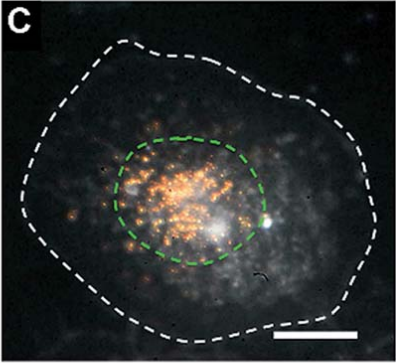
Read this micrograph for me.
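This is a single cultured cell seen in dark field, where the cell body shows only as a faint grey, spread-out shape against the black background, with an irregular, roughly rounded outline. Many small bright orange points crowd together in the centre of the cell, over the oval region of the nucleus. Few such points lie in the thinner surrounding cytoplasm towards the cell edge. A brighter whitish glow also sits near the centre of the nuclear region.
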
